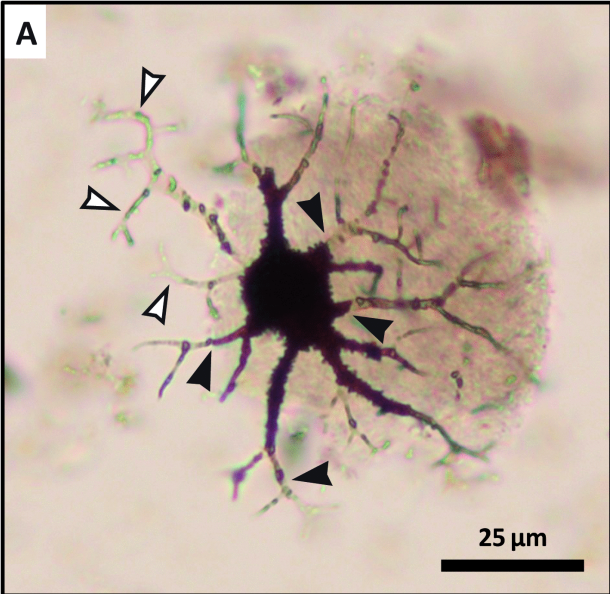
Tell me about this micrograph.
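A single dark, roughly round central body sits partly over a pale, finely granular hazy sheet, and from it many processes radiate in all directions. Near the body the processes are thick and deep reddish-purple; farther out they branch repeatedly and thin into pale, semi-translucent, beaded threads, with some segments alternating dark and light. At the upper left several pale branching threads float free beyond the sheet.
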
